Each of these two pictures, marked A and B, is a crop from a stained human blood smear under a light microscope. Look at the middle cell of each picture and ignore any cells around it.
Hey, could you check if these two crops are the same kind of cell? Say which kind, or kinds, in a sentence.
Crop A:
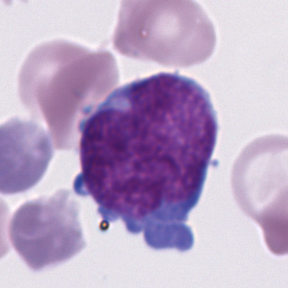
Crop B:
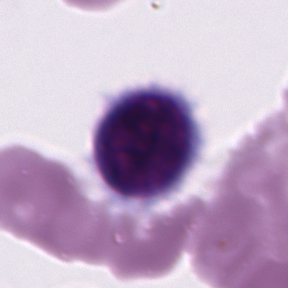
No, crop A should be called a myeloblast, and crop B should be called a hairy cell.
